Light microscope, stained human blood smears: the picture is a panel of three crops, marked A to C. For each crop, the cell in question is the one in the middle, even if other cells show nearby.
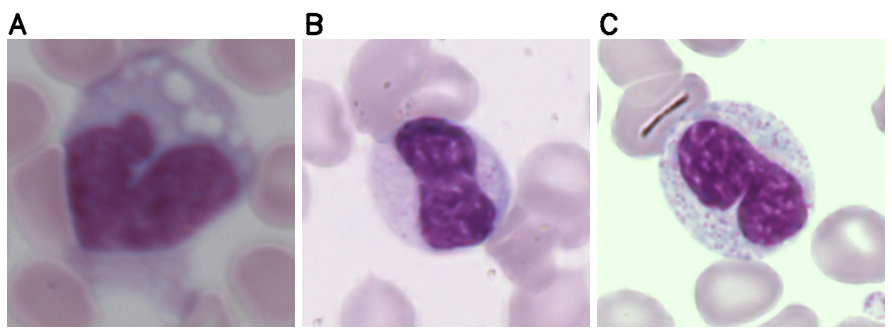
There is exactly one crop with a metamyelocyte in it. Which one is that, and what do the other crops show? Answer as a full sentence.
Crop B is to be called a metamyelocyte, while crop A is a monocyte and crop C is a band neutrophil.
